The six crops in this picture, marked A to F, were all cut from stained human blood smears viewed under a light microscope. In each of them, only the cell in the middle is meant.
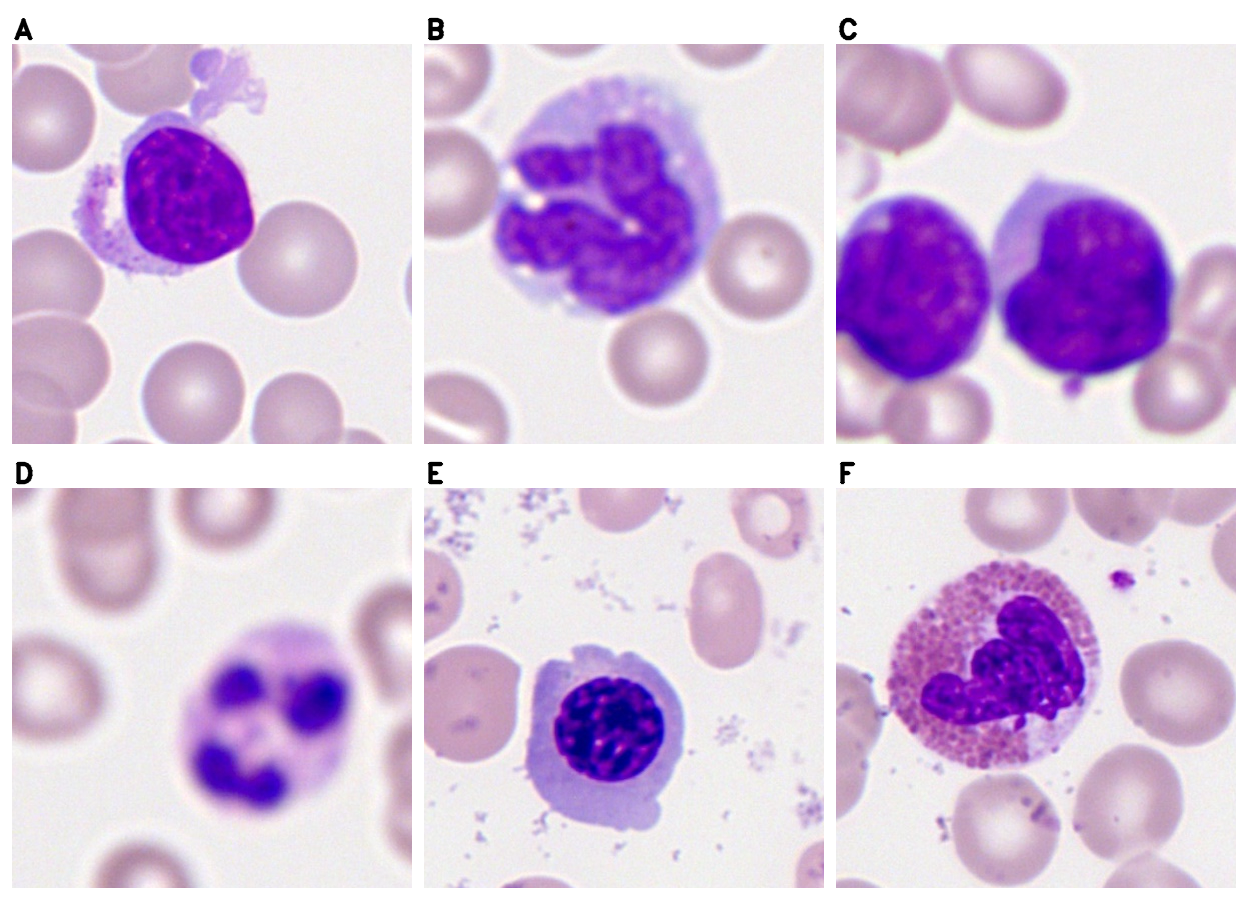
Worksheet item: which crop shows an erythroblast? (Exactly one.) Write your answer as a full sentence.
When the crops are compared, crop E is the one showing an erythroblast.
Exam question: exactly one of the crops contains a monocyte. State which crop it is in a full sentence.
In this set, crop B is the one showing a monocyte.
